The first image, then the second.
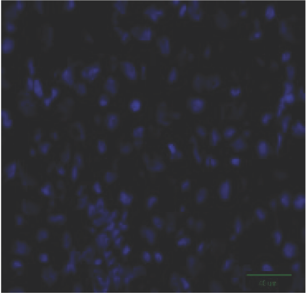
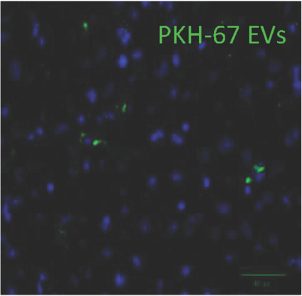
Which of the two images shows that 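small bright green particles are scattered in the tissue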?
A: The second image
